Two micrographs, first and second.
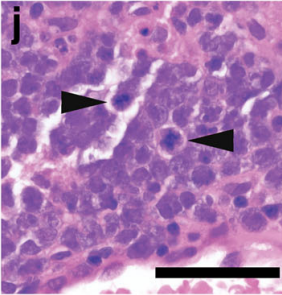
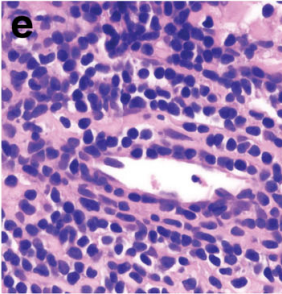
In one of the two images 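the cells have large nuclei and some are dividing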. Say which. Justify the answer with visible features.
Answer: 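Second image: small cells with small, uniformly dark round nuclei and scant cytoplasm. The answer: the first image.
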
